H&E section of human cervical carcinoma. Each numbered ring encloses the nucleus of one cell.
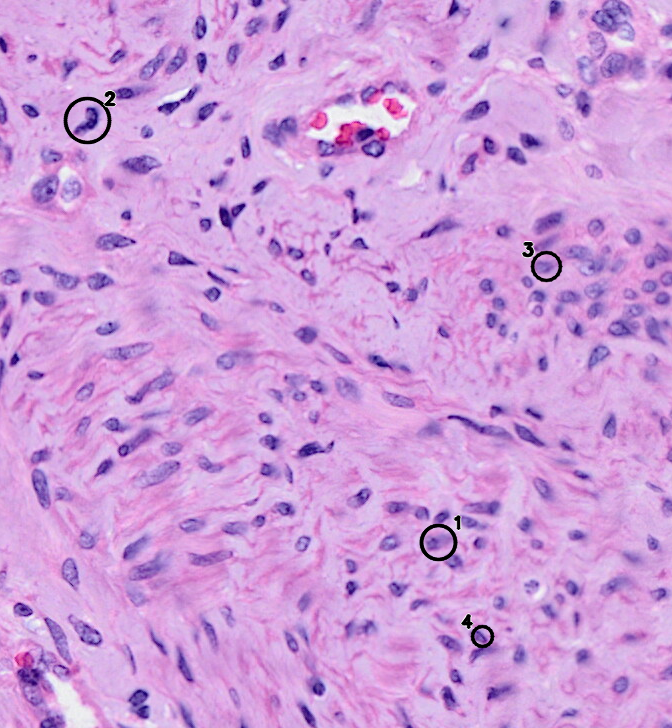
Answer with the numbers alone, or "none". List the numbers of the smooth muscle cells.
1, 3, 4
